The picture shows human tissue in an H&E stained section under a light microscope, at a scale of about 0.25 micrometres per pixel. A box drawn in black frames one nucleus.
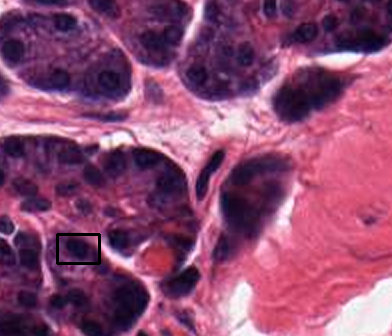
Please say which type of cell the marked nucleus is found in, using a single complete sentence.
The marked nucleus is the nucleus of a pancreatic acinar cell.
